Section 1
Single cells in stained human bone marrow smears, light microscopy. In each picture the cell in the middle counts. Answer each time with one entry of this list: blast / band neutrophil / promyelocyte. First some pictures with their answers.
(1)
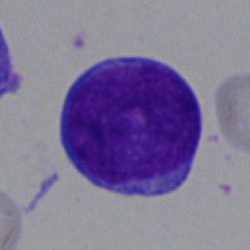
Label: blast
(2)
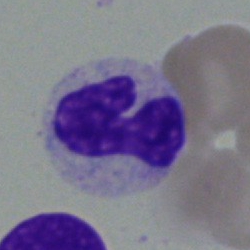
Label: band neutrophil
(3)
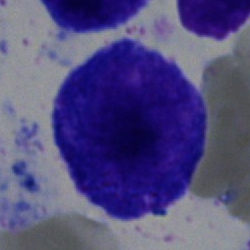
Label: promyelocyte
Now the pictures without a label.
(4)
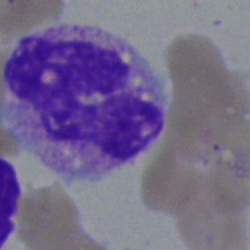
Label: band neutrophil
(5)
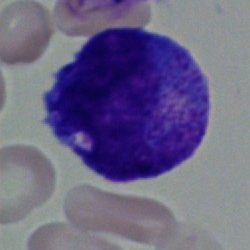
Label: promyelocyte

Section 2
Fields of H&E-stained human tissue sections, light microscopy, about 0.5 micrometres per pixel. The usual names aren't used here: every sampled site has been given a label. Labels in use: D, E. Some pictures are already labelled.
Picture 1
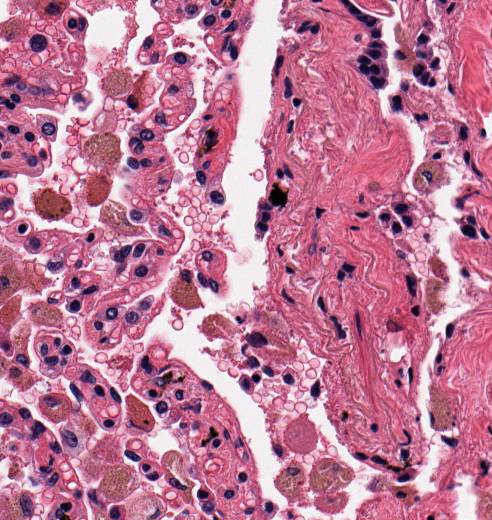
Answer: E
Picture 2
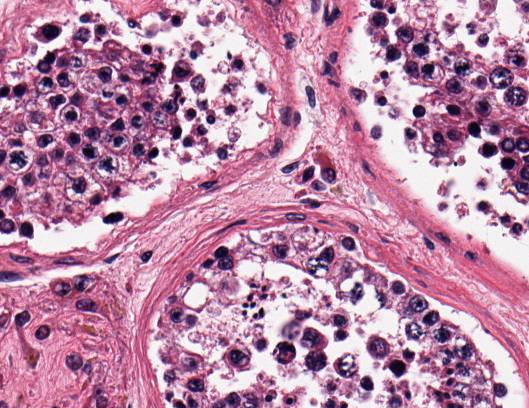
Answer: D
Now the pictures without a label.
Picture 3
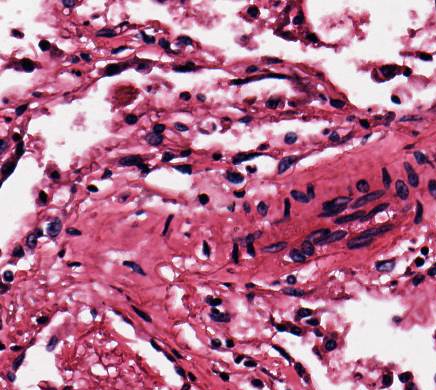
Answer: E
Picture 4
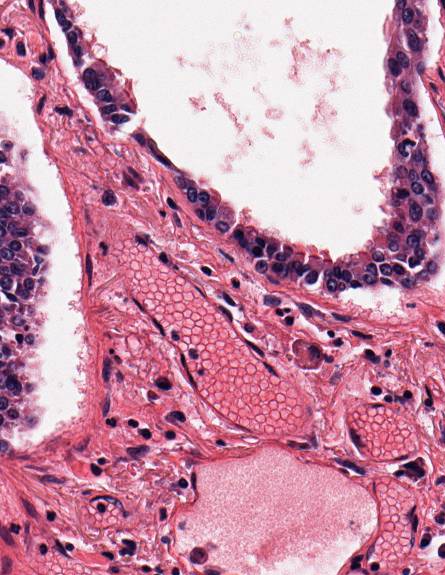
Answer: E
